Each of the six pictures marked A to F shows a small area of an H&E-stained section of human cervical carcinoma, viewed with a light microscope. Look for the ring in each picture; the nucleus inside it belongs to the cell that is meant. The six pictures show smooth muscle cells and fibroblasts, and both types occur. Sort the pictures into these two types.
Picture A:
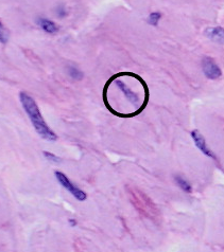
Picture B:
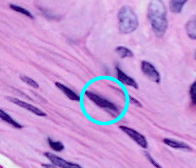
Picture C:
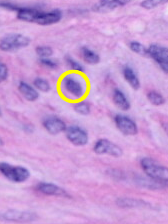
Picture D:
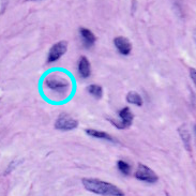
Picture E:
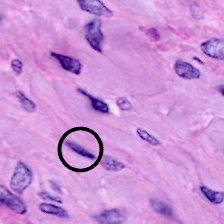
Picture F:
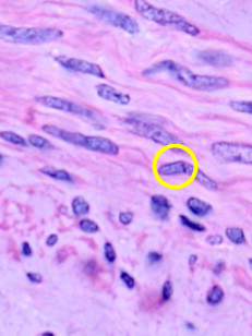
A: fibroblast
B: fibroblast
C: smooth muscle cell
D: fibroblast
E: fibroblast
F: smooth muscle cell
